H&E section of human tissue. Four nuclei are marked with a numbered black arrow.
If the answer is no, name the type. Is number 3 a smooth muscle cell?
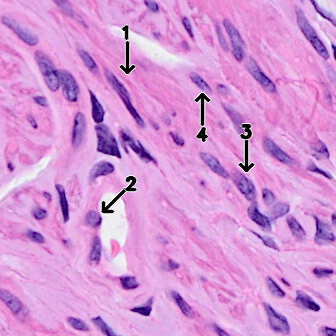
Yes.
